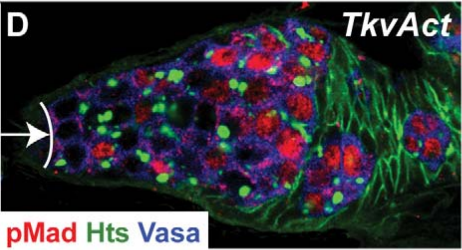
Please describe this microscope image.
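An elongated ovarian tube is packed with many rounded germ cells of similar size, each with blue-stained cytoplasm surrounding a round nucleus. Thin green strands outline the tube at its wider end. The crowded, uniform germ cells filling the tube suggest a tumour-like accumulation of undifferentiated germ cells.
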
